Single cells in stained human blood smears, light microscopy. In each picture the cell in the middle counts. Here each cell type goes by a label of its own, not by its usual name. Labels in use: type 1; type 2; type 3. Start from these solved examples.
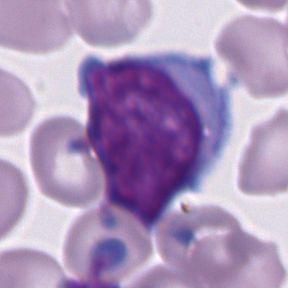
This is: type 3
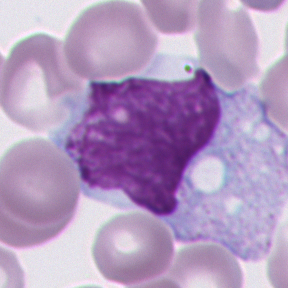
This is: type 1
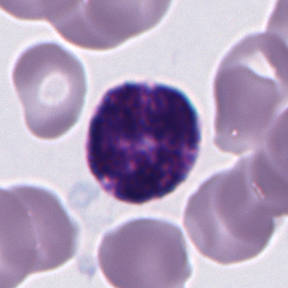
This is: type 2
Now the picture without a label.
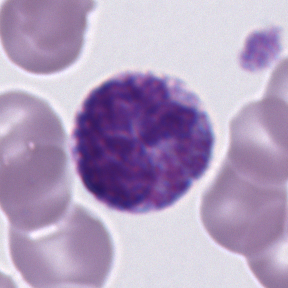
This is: type 2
